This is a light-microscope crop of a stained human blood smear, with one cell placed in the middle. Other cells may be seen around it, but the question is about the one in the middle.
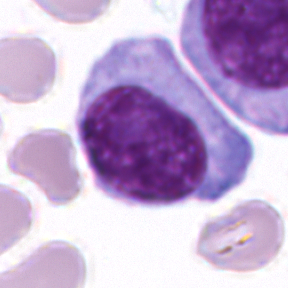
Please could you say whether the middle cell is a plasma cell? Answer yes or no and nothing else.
yes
